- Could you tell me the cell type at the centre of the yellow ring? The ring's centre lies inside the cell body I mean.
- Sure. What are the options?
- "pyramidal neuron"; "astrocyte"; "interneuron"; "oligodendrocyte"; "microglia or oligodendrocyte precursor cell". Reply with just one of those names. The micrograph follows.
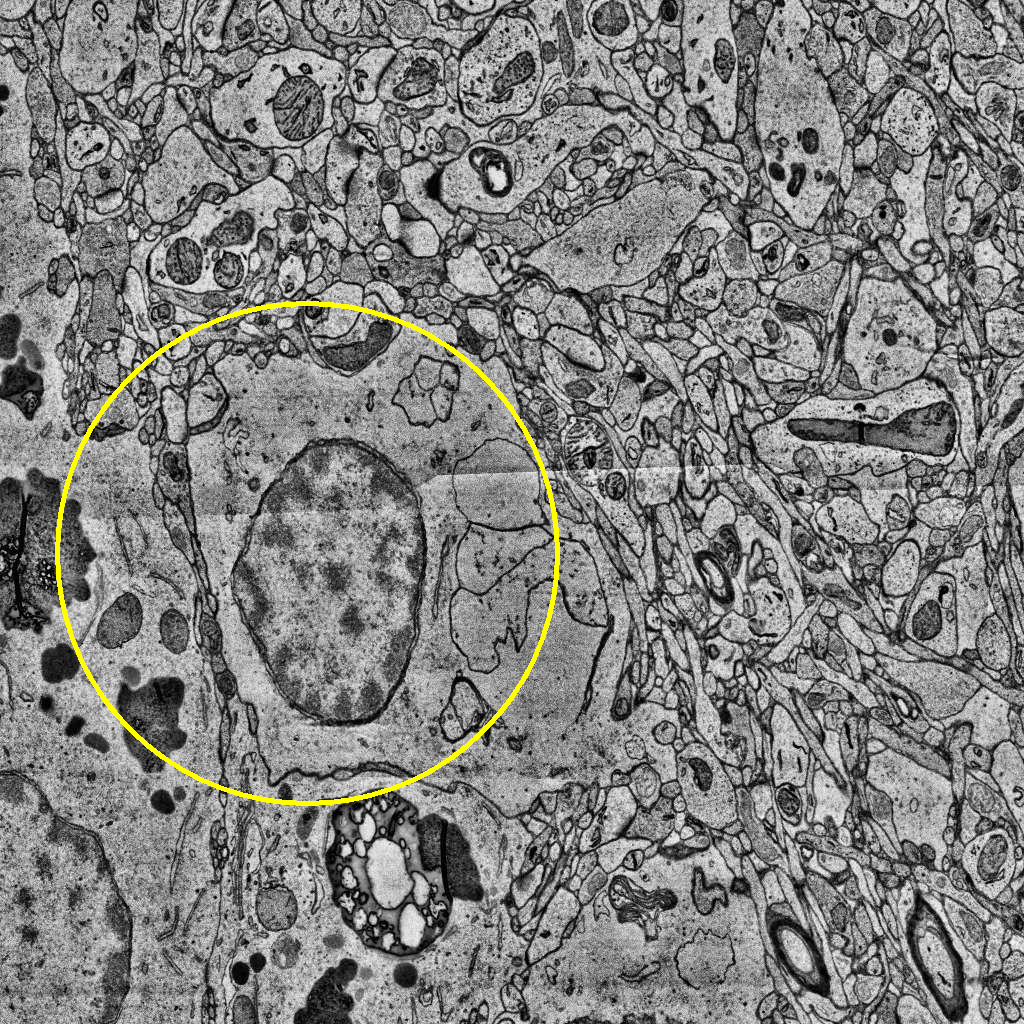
astrocyte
